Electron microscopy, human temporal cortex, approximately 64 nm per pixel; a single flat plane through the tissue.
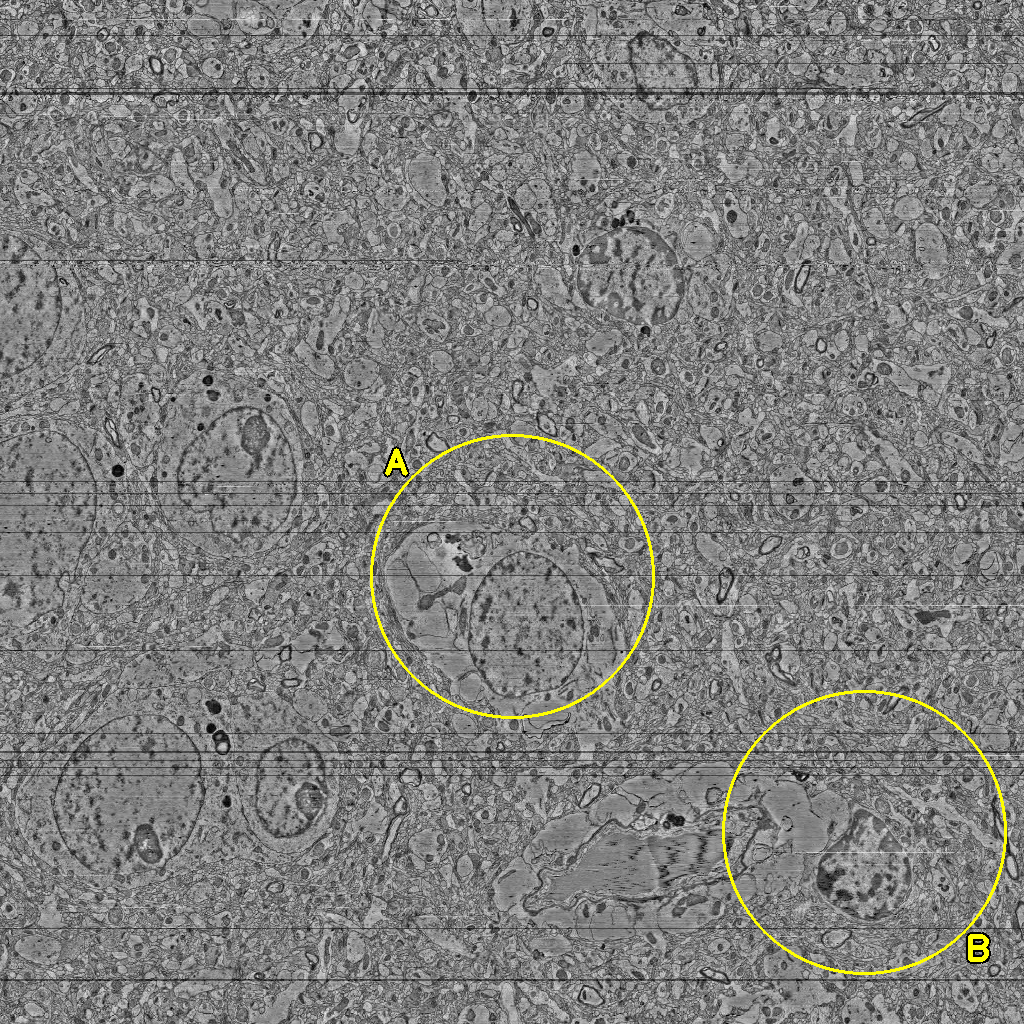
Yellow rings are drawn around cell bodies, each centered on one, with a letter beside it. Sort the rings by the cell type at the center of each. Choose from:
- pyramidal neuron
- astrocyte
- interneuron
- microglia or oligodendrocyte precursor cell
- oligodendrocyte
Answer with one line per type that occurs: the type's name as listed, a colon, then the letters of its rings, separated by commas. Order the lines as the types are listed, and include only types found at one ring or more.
astrocyte: A
microglia or oligodendrocyte precursor cell: B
